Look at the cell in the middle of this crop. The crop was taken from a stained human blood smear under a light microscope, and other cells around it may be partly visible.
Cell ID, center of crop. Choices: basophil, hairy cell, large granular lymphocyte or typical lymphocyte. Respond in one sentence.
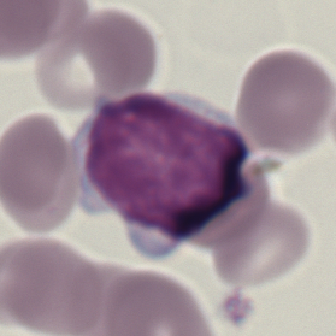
The cell in the middle of this crop is a large granular lymphocyte.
